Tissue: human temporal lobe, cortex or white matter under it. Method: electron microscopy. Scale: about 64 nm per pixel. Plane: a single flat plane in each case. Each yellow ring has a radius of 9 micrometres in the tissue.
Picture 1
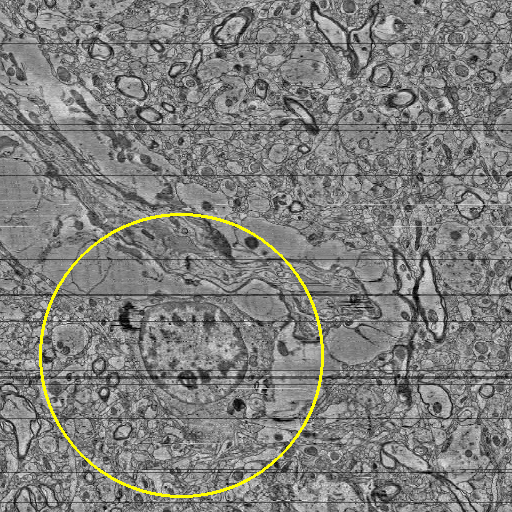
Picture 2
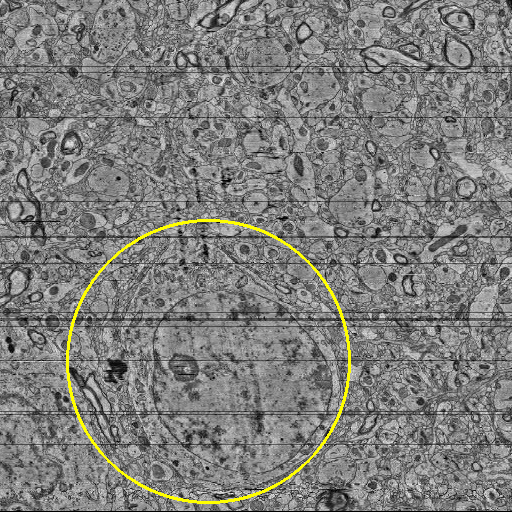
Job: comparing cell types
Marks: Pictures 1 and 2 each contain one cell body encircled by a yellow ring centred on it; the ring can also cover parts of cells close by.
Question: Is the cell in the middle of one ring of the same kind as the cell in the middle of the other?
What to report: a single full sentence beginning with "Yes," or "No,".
No, the cell at the ring centre in Picture 1 and its partner in Picture 2 are of two kinds.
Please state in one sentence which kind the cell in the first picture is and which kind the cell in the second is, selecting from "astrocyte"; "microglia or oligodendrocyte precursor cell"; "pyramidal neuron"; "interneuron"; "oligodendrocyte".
The first ringed cell is an oligodendrocyte, the second ringed cell a pyramidal neuron.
